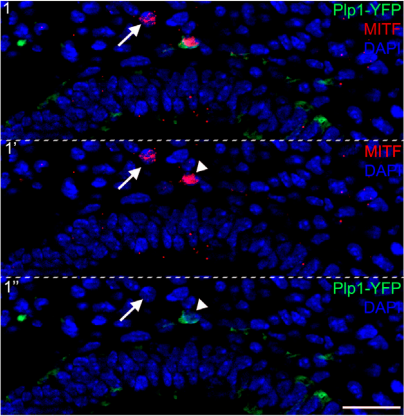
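The epithelium below is a dense layer of elongated, closely packed blue nuclei, while the mesenchyme above holds loosely arranged round nuclei. Among them lie a few single cells with red label; one of these also carries green signal, whereas another shows red without green. Scattered small green cells and short green profiles also lie along the border of the epithelium.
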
